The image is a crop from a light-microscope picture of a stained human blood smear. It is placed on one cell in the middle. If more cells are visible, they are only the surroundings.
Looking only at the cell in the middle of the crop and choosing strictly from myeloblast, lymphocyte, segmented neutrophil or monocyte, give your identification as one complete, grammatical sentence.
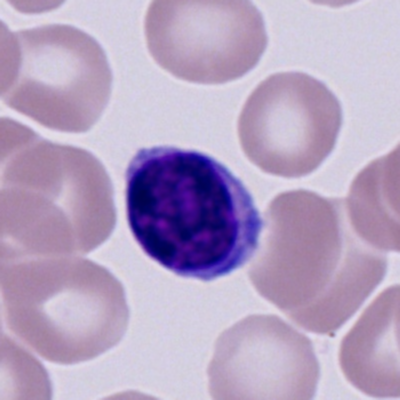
Within this crop, a lymphocyte occupies the central position.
